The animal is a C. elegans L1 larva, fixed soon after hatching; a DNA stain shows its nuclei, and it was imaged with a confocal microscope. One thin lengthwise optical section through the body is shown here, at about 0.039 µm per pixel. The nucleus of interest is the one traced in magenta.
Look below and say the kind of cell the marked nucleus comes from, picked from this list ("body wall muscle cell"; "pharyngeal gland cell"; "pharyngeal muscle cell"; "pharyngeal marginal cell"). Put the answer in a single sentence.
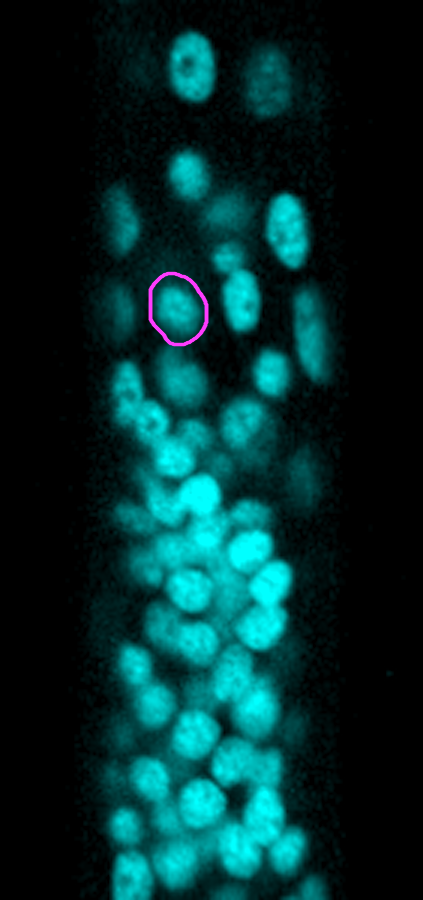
The nucleus comes from a pharyngeal muscle cell.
